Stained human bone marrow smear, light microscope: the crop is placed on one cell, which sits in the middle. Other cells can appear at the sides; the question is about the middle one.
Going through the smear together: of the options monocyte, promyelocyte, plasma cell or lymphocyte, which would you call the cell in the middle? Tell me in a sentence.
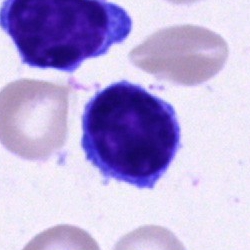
The cell nearest the centre of this crop is a lymphocyte.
